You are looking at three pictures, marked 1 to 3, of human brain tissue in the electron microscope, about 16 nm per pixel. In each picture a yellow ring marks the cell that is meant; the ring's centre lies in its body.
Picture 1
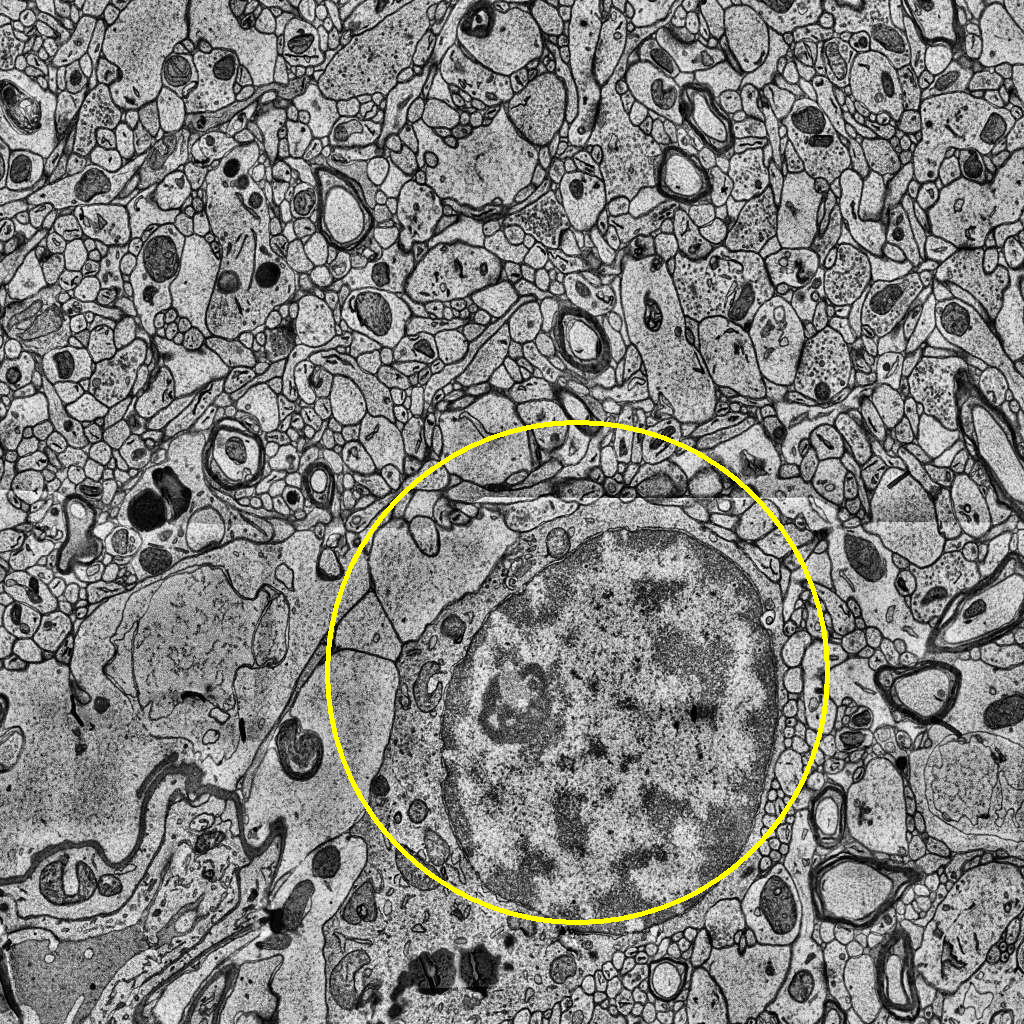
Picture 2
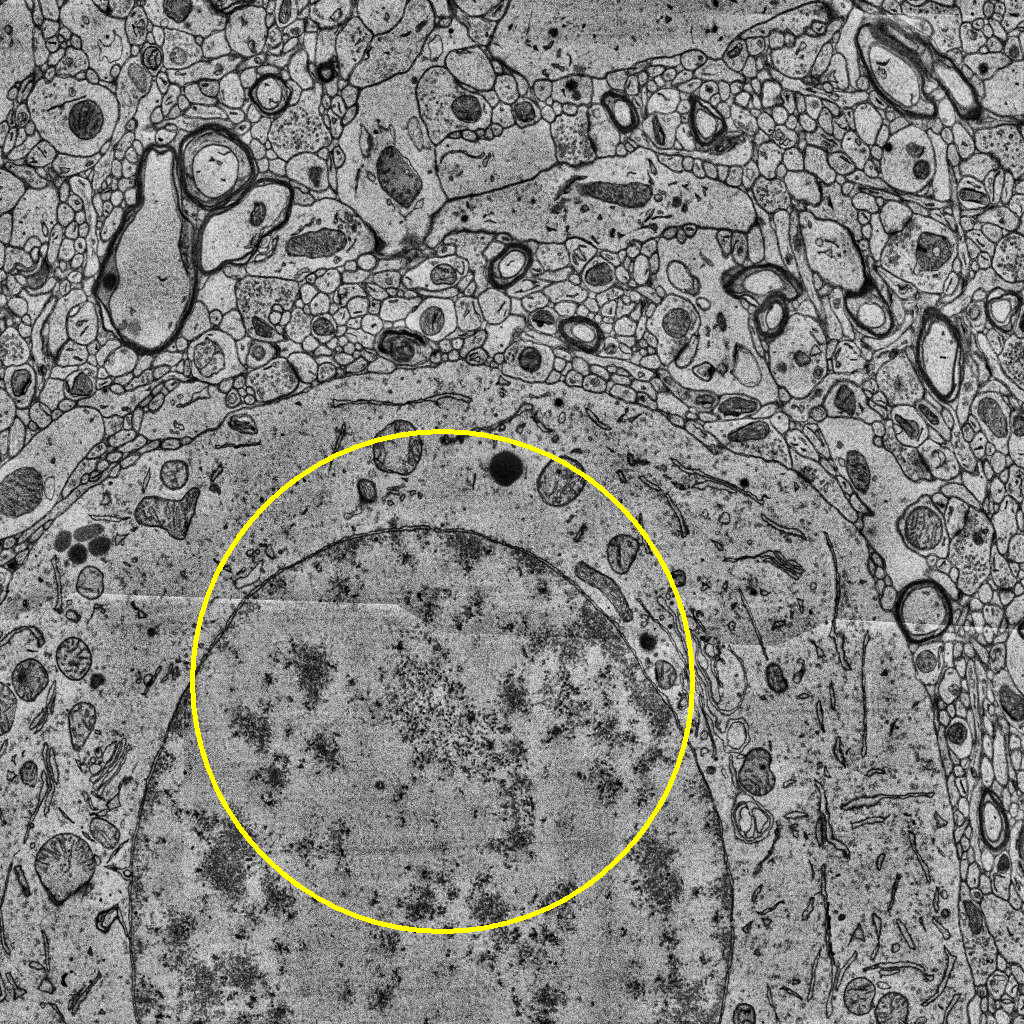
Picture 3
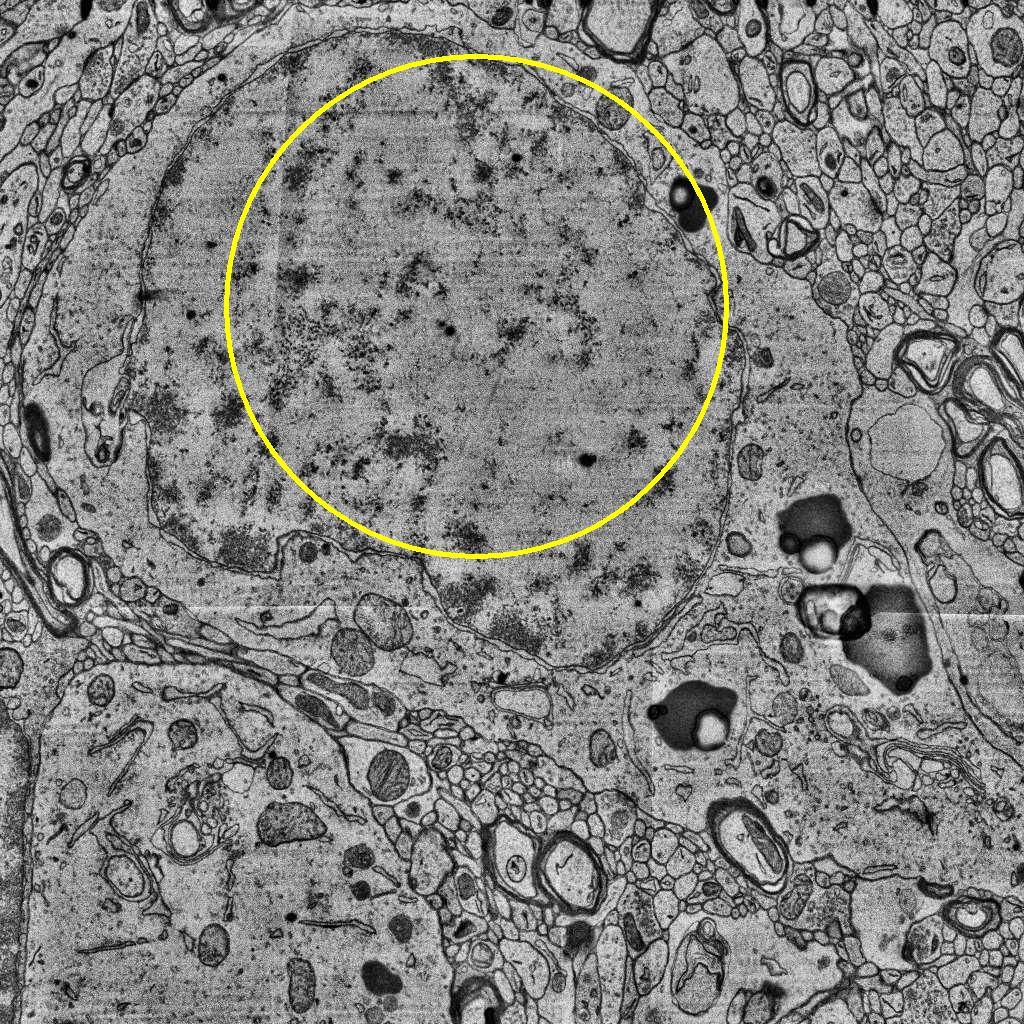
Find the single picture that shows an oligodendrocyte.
It is picture 1 that shows the oligodendrocyte.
